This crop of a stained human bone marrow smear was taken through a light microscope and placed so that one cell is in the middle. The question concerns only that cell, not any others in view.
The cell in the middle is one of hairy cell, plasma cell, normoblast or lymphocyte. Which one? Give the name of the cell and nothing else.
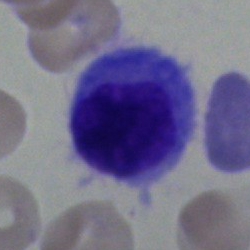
hairy cell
